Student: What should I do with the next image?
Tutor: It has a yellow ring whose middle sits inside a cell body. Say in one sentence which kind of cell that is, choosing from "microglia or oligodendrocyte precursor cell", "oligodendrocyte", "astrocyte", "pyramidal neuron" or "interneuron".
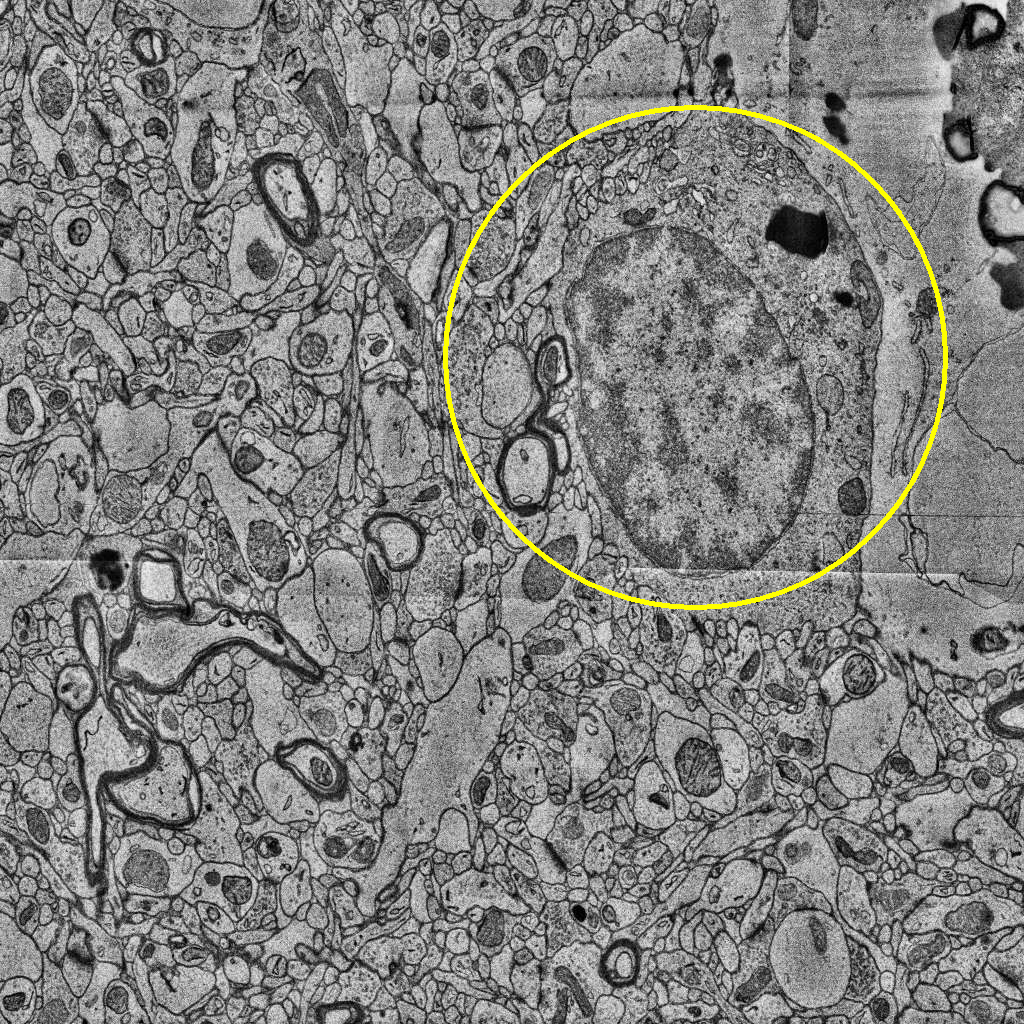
The ring's centre is occupied by an oligodendrocyte.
